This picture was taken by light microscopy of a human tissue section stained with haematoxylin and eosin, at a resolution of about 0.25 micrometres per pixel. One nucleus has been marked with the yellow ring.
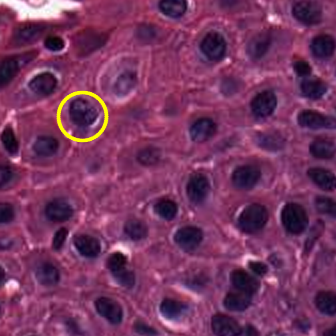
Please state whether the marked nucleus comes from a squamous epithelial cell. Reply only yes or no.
yes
